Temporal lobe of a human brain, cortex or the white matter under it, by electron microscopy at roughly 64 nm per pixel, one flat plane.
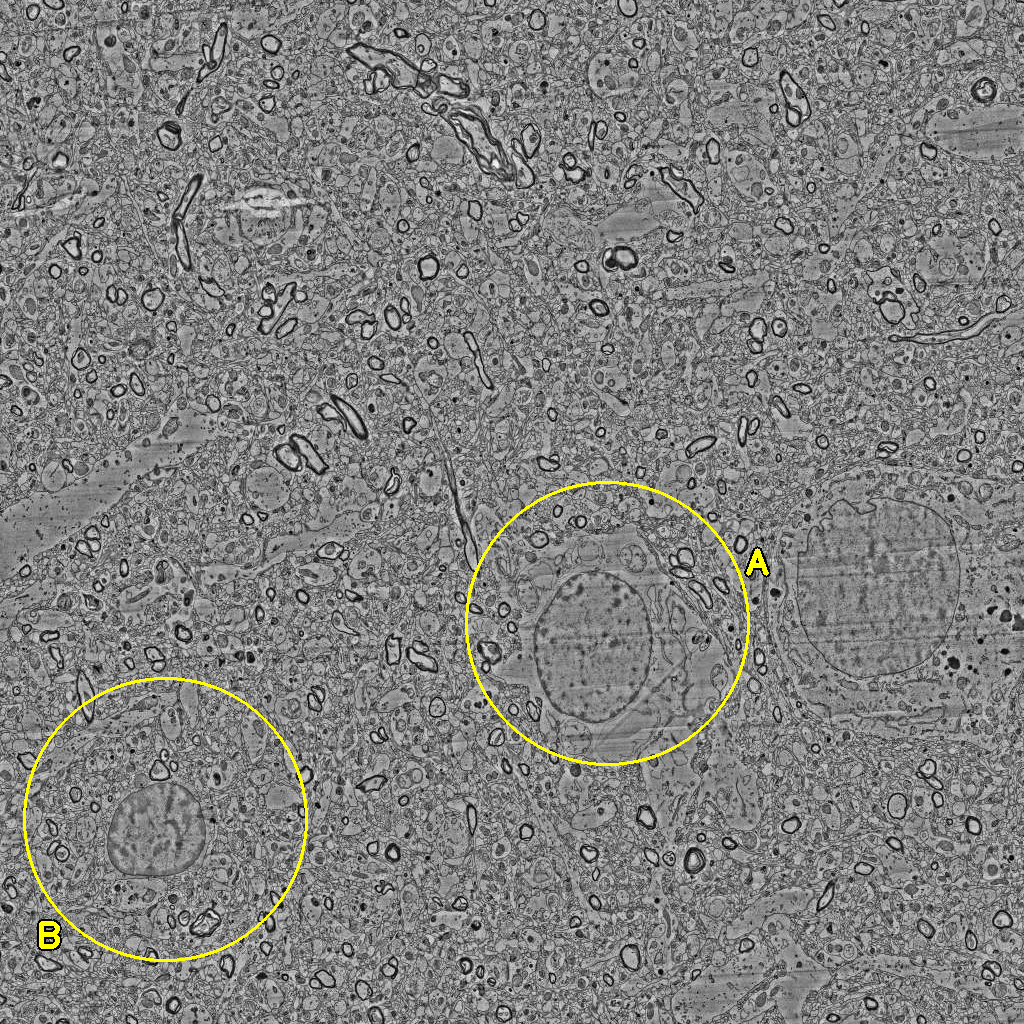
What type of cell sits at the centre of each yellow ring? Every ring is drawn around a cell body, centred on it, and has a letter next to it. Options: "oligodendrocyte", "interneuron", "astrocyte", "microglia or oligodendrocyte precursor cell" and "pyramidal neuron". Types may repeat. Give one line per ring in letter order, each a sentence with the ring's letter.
Ring A has an astrocyte at its centre.
Ring B has an oligodendrocyte at its centre.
